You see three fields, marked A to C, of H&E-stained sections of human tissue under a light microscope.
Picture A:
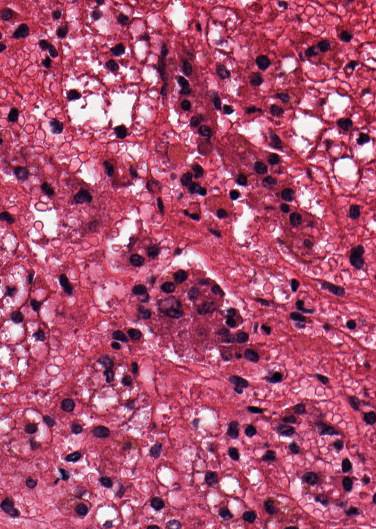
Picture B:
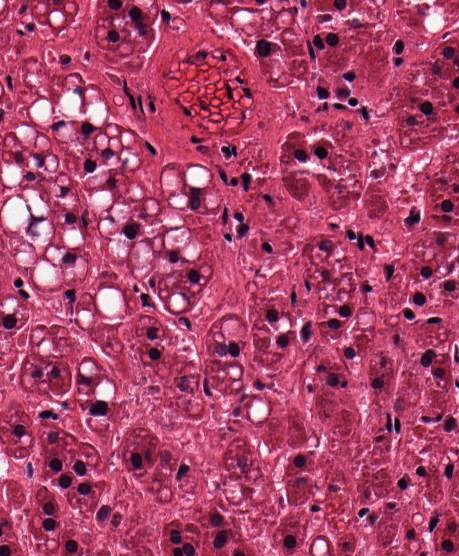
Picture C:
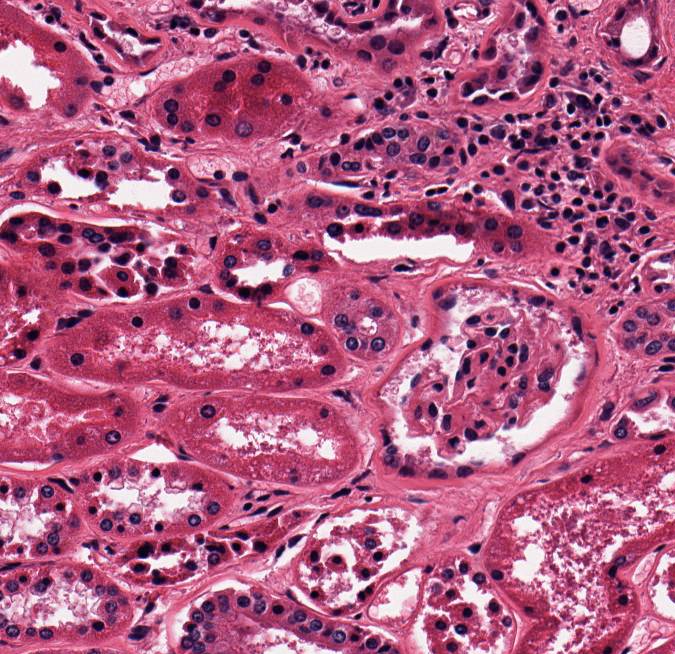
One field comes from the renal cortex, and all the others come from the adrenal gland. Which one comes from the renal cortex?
C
